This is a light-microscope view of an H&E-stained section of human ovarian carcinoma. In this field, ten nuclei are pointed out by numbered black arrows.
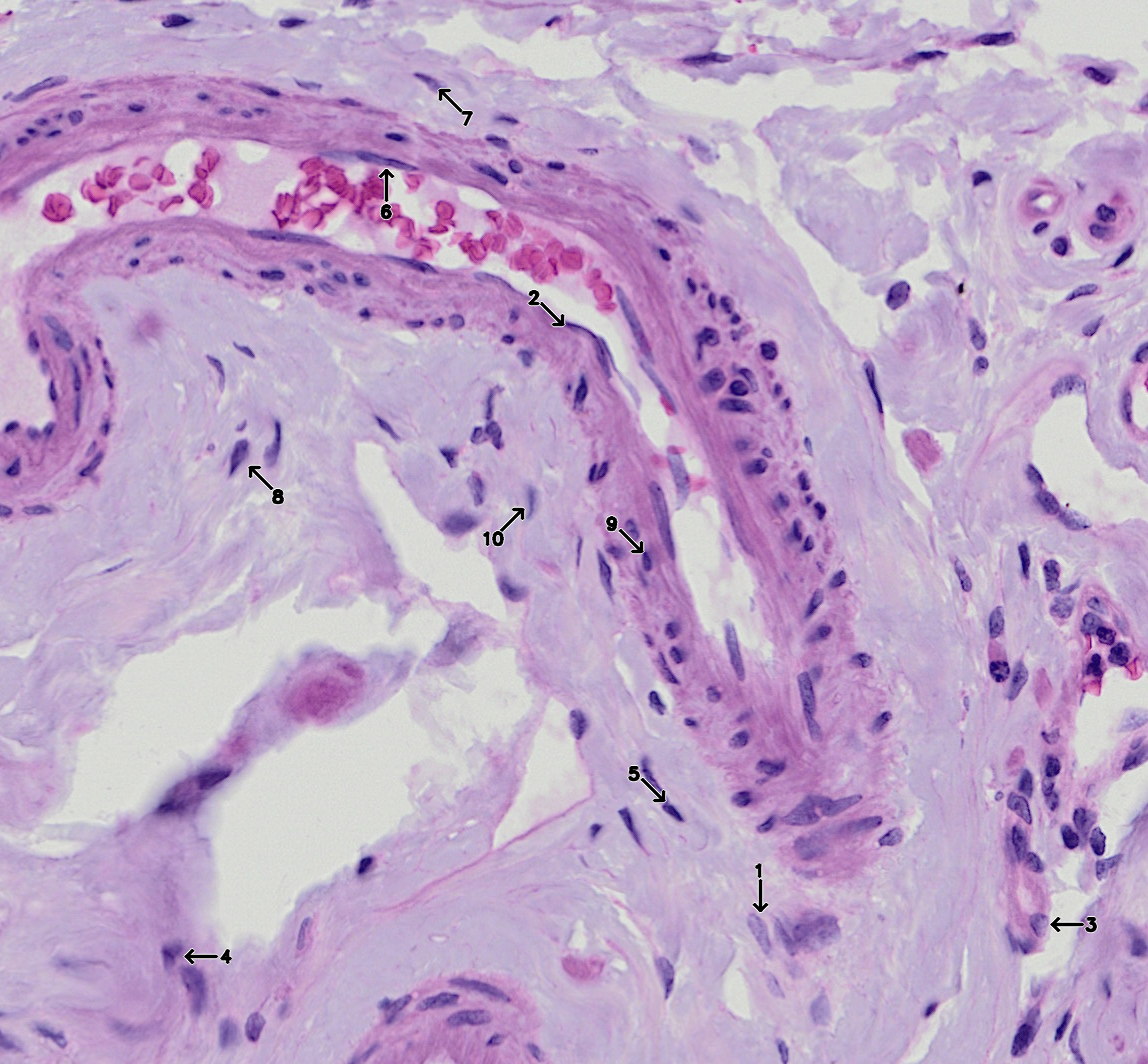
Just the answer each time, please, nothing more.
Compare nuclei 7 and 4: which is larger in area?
4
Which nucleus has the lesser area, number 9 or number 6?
9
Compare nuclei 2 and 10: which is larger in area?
2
